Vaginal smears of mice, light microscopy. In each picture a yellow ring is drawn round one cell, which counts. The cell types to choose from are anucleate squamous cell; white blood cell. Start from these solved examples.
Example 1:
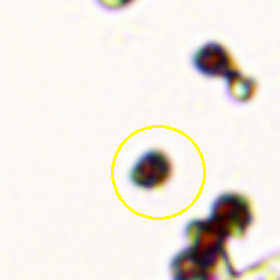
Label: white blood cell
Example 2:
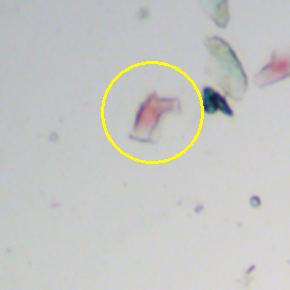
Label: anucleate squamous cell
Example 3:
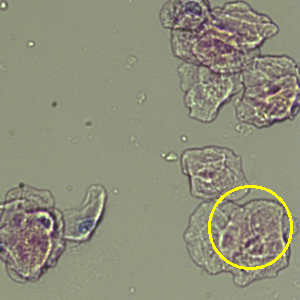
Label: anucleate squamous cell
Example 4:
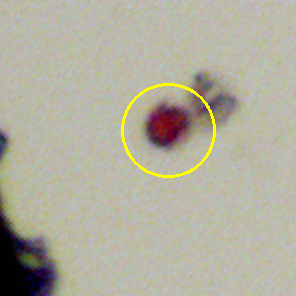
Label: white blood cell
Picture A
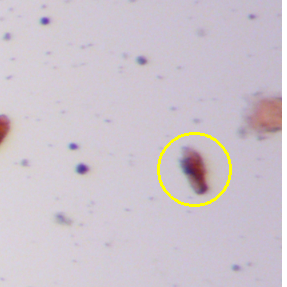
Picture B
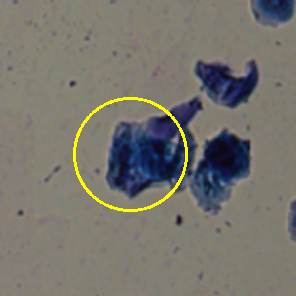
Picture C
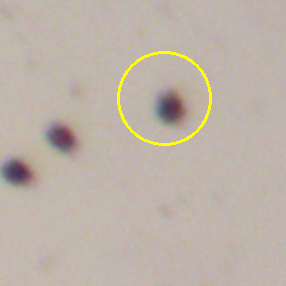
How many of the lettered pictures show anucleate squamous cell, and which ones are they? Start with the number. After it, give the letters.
Count: 2 (A, B)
